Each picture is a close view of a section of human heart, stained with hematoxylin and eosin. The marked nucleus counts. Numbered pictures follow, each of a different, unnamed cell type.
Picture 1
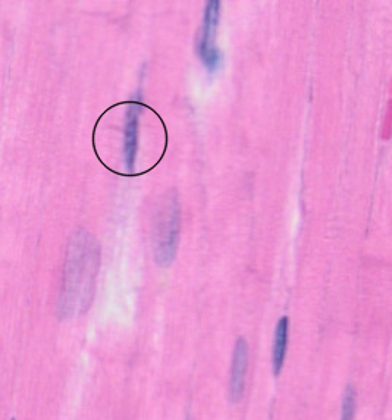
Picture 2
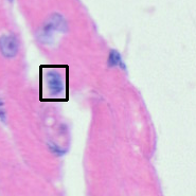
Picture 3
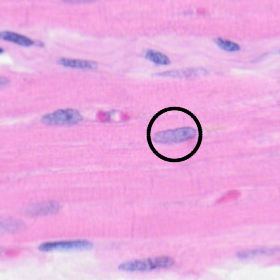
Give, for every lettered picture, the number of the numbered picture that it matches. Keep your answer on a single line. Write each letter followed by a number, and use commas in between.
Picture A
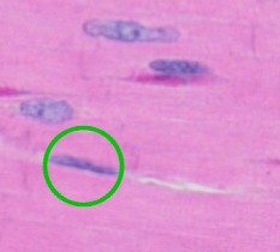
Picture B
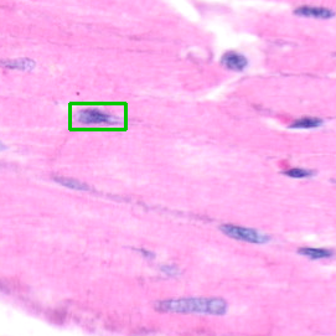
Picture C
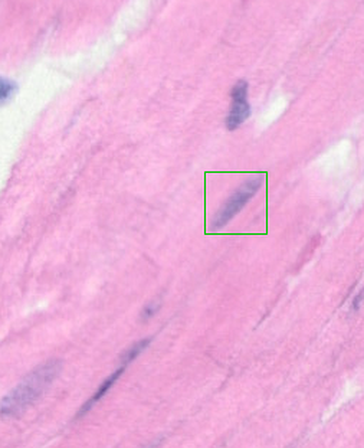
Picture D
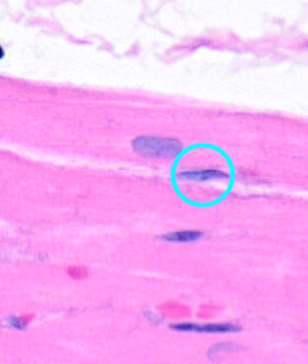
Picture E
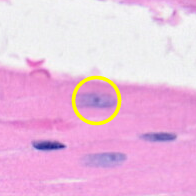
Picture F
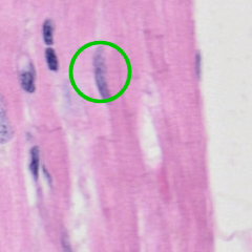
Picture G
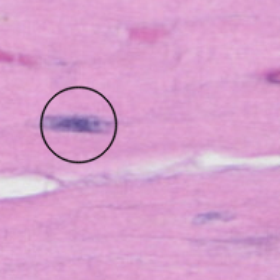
A 2, B 1, C 3, D 1, E 3, F 1, G 1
